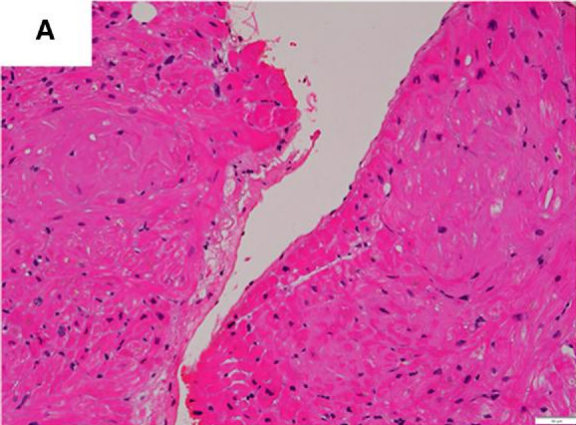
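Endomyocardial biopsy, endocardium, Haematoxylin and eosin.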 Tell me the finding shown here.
Pale eosinophilic amorphous material.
